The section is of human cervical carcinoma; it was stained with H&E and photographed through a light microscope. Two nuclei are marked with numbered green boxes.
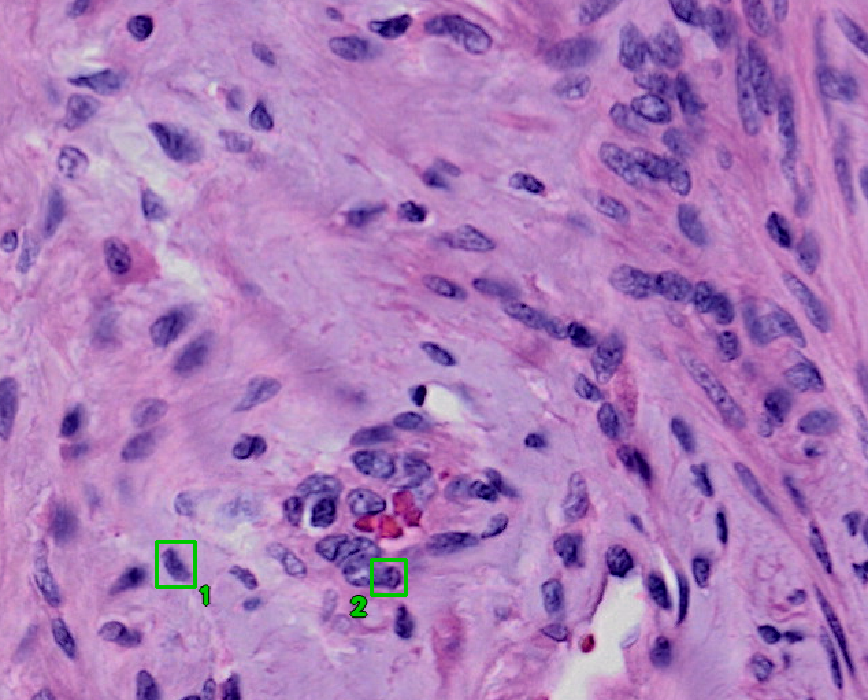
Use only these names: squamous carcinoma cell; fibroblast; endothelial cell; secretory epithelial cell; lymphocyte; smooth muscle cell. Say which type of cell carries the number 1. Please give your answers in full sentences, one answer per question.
Here, the cell given the number 1 is a fibroblast.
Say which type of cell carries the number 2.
Among the marked nuclei, number 2 belongs to an endothelial cell.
